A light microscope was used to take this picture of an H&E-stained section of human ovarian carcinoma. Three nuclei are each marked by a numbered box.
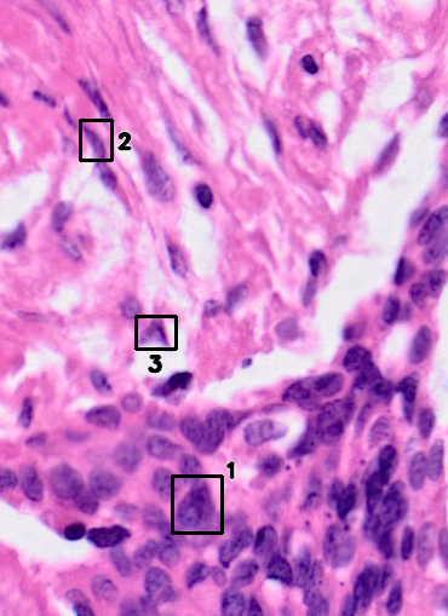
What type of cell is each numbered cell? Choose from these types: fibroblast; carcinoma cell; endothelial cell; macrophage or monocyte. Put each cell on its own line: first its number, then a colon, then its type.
1: carcinoma cell
2: fibroblast
3: fibroblast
